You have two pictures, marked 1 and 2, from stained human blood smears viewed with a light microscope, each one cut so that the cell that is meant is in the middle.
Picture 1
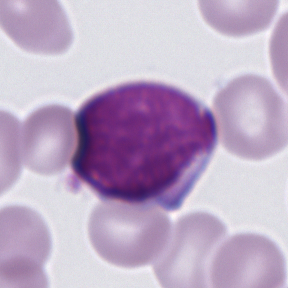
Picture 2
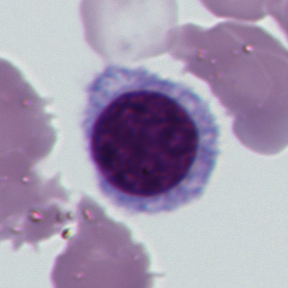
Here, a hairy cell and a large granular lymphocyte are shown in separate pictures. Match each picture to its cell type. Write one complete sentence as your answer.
It is picture 1 that shows a large granular lymphocyte, and picture 2 that shows a hairy cell.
